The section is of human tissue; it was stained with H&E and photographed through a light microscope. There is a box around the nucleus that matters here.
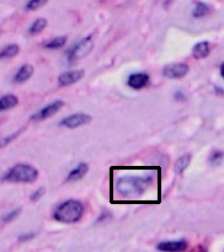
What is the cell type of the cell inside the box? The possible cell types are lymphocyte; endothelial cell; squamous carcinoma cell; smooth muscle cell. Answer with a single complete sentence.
Among the cells in this section, the cell inside the box is an endothelial cell.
